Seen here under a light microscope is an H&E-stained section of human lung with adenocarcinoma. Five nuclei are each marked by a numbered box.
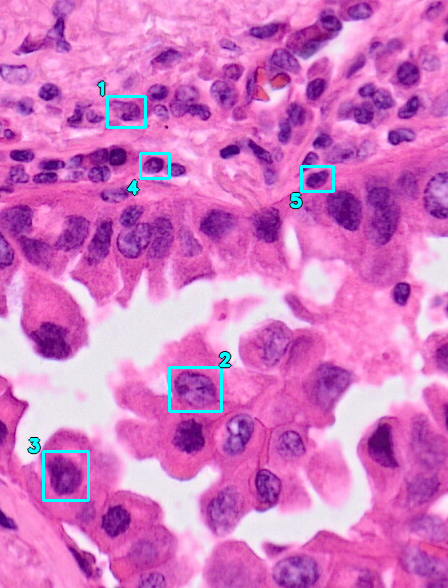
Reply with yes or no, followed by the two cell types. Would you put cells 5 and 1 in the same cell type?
No, that's off: cell 5 is a lymphocyte and cell 1 is a plasma cell.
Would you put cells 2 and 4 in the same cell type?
No, the cell numbered 2 is a carcinoma cell and the cell numbered 4 is a lymphocyte.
